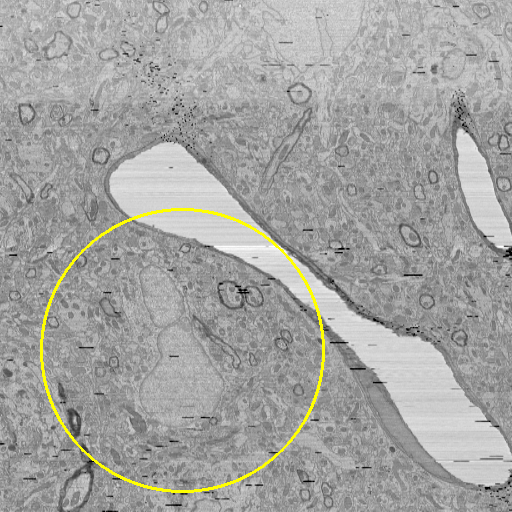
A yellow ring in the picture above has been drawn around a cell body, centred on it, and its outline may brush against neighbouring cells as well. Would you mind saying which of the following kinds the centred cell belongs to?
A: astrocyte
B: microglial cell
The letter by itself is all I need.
A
